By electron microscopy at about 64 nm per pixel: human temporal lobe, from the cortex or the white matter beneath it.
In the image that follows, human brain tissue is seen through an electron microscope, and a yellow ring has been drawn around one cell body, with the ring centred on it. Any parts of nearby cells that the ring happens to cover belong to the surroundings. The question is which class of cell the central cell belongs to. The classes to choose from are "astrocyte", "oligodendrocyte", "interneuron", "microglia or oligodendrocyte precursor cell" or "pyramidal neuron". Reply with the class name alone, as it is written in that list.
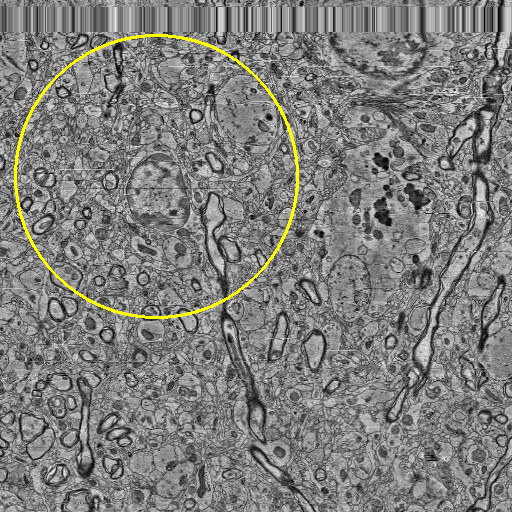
microglia or oligodendrocyte precursor cell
